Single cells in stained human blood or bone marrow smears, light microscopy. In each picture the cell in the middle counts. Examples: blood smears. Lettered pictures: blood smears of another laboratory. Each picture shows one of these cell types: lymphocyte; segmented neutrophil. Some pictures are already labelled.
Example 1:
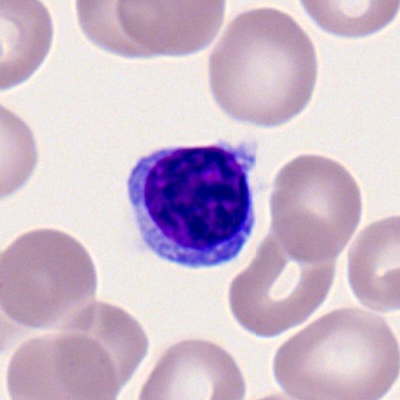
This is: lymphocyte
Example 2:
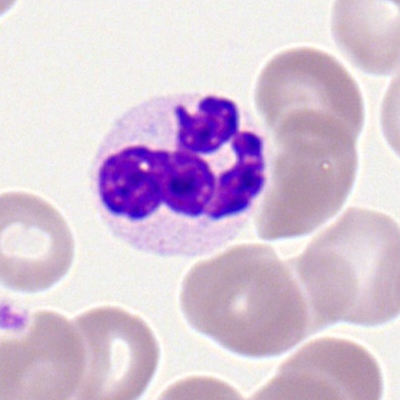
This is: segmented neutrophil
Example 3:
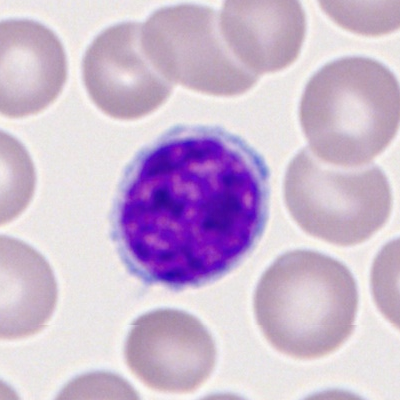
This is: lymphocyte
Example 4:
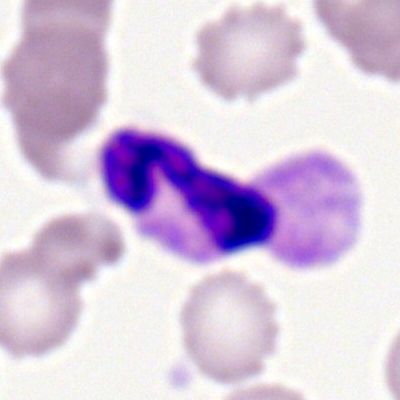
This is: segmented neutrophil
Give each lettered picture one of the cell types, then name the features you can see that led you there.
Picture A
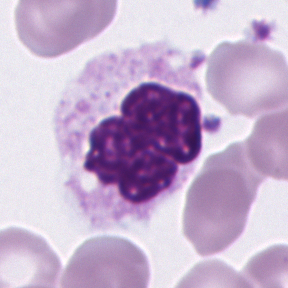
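Answer: segmented neutrophil. A wide zone of pale pinkish-lilac cytoplasm surrounds the nucleus.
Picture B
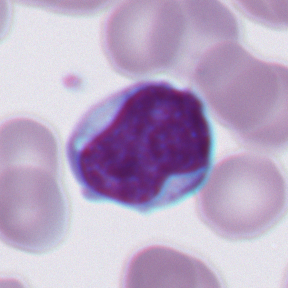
Answer: lymphocyte. The cytoplasm is a narrow rim, widest at the left and lower right.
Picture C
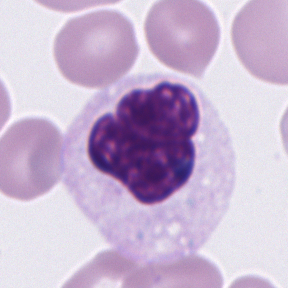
Answer: segmented neutrophil. The cytoplasm is abundant and pale greyish-lilac.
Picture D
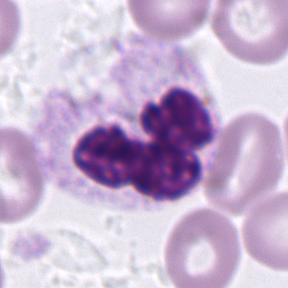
Answer: segmented neutrophil. The cytoplasm is abundant and pale pinkish-lilac.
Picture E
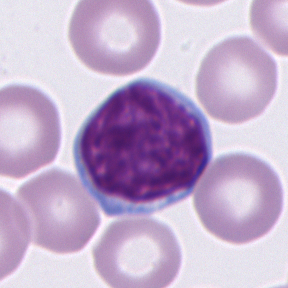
Answer: lymphocyte. The cytoplasm forms only a thin rim around the nucleus.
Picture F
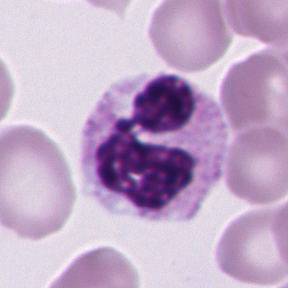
Answer: segmented neutrophil. The cytoplasm is plentiful and pale pinkish-lilac.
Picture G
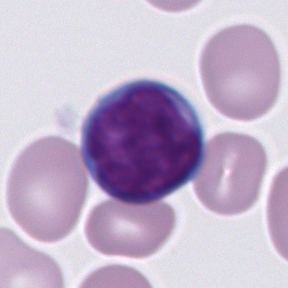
Answer: lymphocyte. The cytoplasm forms only a thin rim at the edge of the nucleus.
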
